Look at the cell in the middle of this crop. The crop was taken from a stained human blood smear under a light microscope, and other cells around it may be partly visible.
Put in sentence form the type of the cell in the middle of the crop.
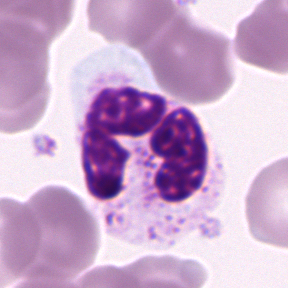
The cell that lies at the centre of the crop is a segmented neutrophil.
